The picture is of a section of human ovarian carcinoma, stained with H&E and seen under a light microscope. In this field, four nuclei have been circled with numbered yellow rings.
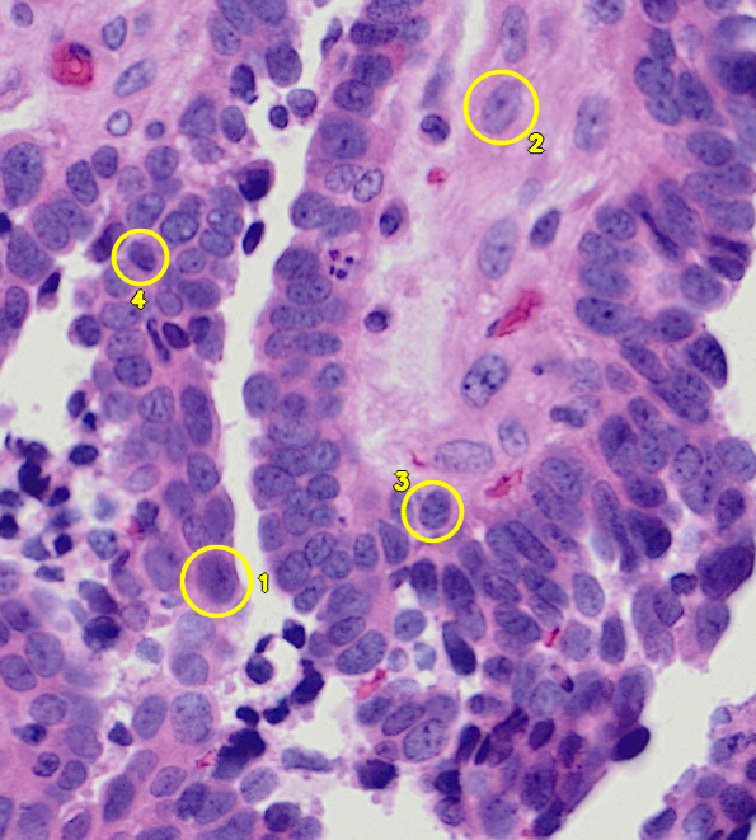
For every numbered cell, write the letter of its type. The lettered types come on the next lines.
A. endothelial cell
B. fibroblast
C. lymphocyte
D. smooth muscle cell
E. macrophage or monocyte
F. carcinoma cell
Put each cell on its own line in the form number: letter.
1: F
2: B
3: F
4: F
